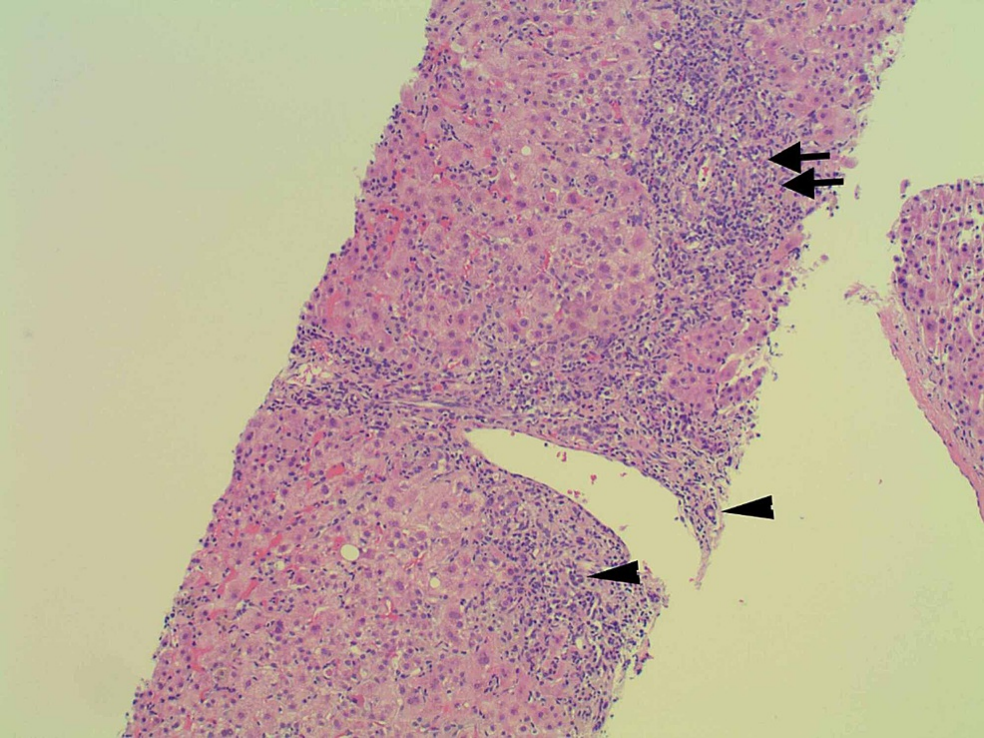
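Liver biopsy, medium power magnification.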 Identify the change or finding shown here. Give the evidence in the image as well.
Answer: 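Dense infiltrate of small dark-nucleated inflammatory cells fills the portal areas. The infiltrate spills beyond the portal areas into the neighbouring hepatocyte plates. Scattered clusters of inflammatory cells lie among hepatocytes away from the portal areas. On this evidence: portal, periportal, and patchy lobular hepatitis.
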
